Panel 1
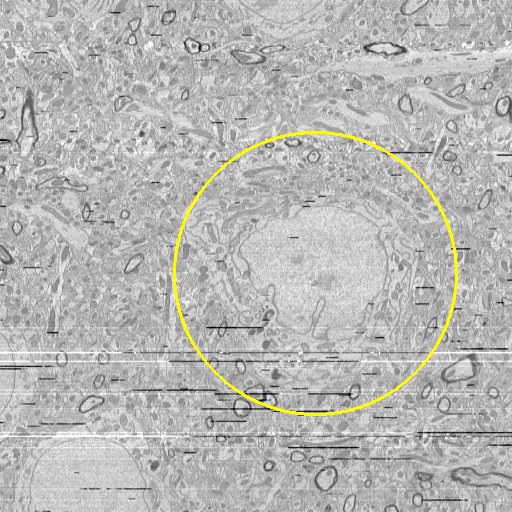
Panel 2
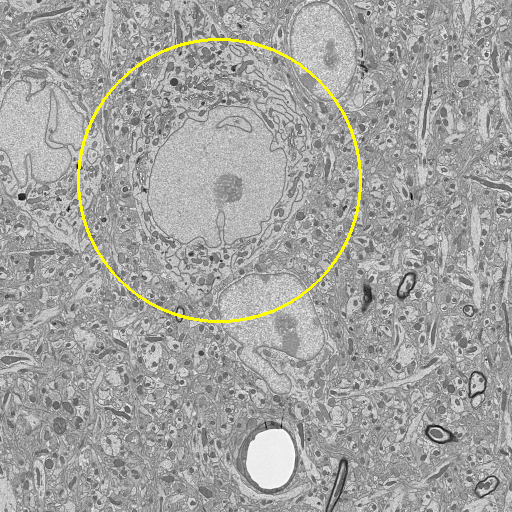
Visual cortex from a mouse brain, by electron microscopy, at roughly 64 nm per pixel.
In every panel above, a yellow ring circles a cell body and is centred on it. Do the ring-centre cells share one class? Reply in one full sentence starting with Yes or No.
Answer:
Yes, the two cells at the ring centres in the panels belong to one class.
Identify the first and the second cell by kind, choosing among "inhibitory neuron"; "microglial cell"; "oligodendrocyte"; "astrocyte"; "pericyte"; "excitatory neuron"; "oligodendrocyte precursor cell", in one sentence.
Each one of the two ringed cells is an inhibitory neuron.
